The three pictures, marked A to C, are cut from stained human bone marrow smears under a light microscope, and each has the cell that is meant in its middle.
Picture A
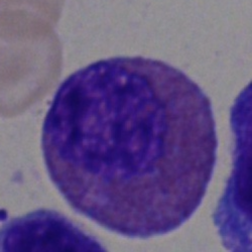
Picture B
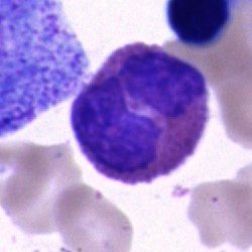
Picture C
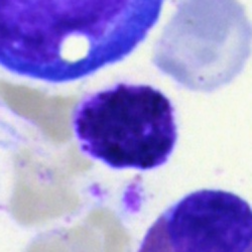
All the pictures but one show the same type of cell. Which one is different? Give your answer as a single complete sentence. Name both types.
The different one is picture C; it shows a basophil, whereas all the others show eosinophils.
